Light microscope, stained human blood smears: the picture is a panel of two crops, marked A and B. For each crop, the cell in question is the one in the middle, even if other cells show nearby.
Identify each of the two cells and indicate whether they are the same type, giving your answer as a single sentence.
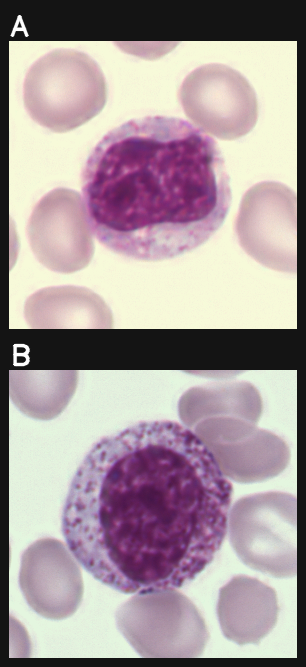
Yes, both of the crops show metamyelocytes.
